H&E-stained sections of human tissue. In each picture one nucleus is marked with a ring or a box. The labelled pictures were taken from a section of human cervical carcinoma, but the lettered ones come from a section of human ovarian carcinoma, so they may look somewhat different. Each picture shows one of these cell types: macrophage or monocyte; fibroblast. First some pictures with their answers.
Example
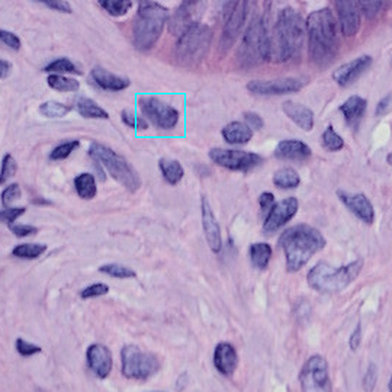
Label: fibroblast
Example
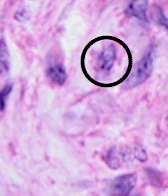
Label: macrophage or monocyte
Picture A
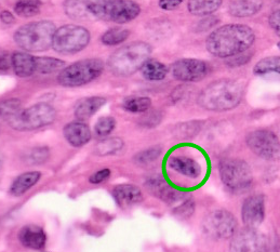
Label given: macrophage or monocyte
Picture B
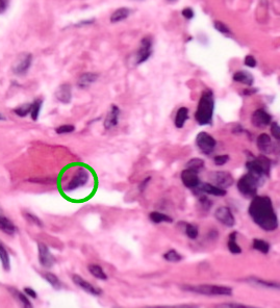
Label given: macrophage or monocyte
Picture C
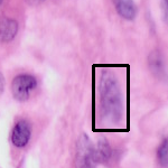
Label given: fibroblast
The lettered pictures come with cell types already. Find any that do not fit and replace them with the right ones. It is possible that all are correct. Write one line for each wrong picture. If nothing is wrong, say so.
Wrong: B (macrophage or monocyte); correct: fibroblast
